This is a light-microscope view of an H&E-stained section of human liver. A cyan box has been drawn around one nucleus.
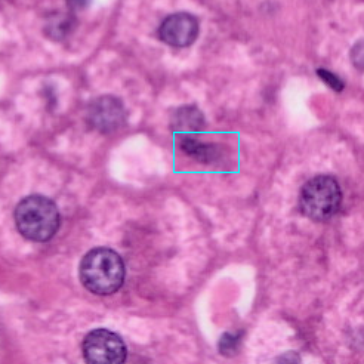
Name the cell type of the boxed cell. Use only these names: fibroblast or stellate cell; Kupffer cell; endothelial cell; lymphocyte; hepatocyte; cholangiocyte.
fibroblast or stellate cell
